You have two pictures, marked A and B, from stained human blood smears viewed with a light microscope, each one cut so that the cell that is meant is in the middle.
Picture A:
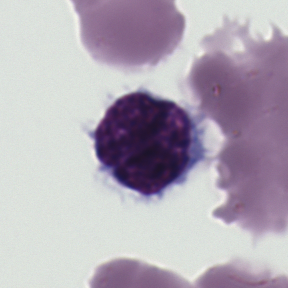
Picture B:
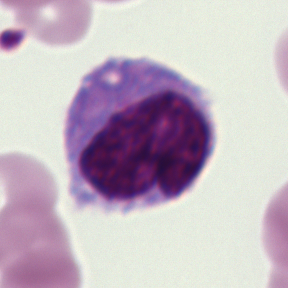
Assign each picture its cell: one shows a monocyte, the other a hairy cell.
A: hairy cell
B: monocyte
